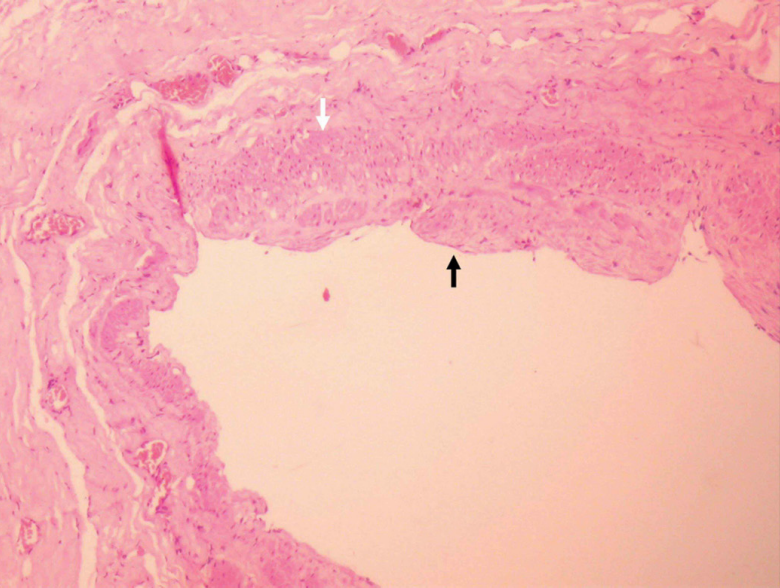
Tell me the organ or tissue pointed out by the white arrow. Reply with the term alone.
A: Smooth muscle.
